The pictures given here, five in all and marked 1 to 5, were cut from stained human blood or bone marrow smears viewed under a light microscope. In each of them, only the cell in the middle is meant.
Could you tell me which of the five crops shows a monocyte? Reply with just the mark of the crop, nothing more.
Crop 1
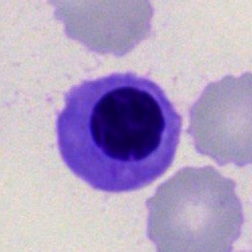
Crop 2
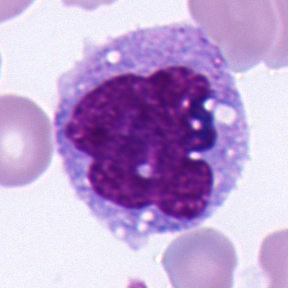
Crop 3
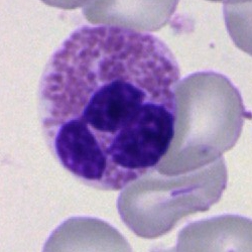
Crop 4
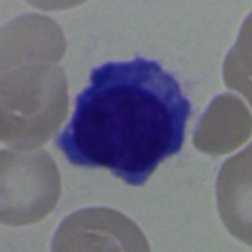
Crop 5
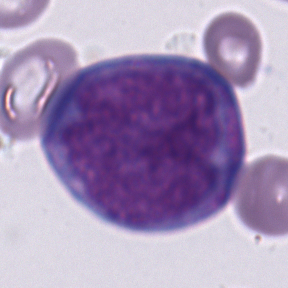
2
